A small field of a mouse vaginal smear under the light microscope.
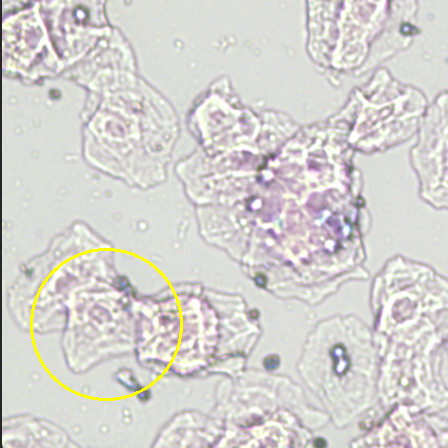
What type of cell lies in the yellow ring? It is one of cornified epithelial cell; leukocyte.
The ringed cell is a cornified epithelial cell.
